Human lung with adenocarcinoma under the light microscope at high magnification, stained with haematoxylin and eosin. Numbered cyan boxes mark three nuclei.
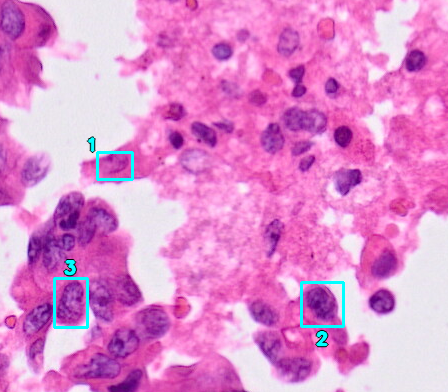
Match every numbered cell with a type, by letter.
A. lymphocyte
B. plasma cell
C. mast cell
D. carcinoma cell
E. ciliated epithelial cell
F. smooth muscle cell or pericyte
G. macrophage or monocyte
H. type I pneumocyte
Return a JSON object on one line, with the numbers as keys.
{"1": "G", "2": "D", "3": "D"}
